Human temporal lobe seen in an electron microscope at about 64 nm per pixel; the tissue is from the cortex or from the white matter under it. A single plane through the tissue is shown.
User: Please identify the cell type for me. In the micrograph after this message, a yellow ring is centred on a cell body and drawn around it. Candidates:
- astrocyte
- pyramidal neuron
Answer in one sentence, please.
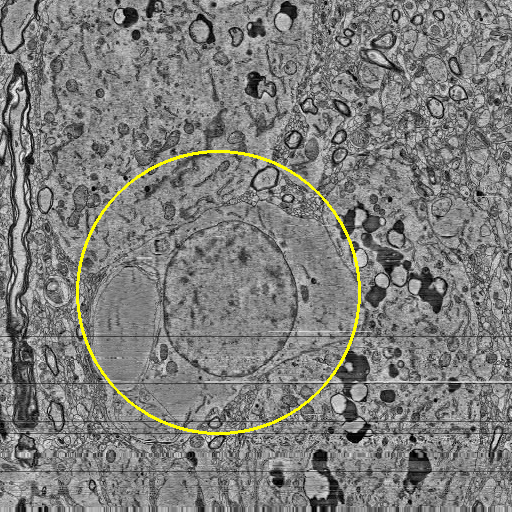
The ring is drawn around the cell body of an astrocyte.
